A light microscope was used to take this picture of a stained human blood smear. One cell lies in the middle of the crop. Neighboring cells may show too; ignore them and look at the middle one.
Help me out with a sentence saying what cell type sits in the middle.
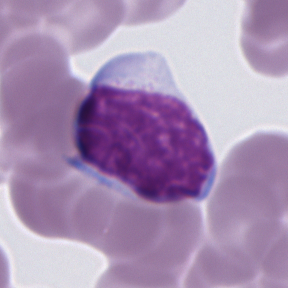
The cell the crop is centered on is a large granular lymphocyte.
